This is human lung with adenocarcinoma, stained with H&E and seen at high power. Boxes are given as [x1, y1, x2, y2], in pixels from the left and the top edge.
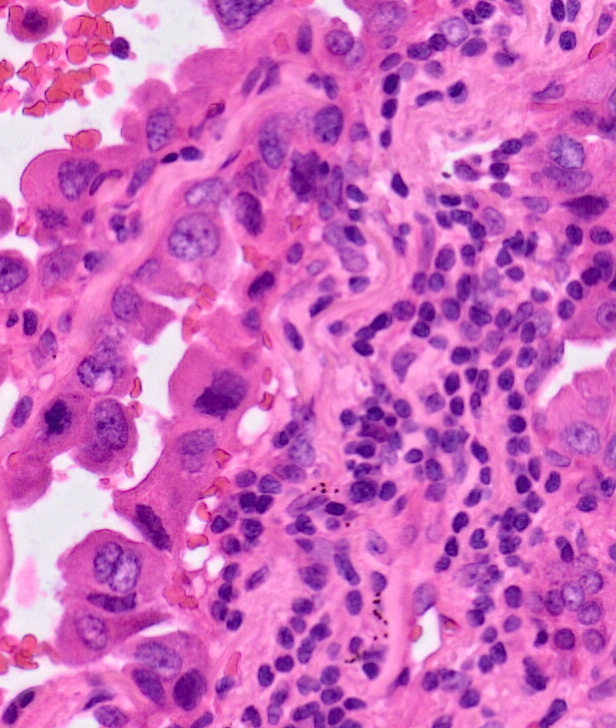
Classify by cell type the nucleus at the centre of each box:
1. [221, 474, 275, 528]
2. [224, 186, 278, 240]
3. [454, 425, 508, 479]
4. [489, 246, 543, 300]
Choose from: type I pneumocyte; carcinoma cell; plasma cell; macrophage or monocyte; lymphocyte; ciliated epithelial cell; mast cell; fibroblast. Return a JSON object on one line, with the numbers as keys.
{"1": "lymphocyte", "2": "carcinoma cell", "3": "lymphocyte", "4": "lymphocyte"}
